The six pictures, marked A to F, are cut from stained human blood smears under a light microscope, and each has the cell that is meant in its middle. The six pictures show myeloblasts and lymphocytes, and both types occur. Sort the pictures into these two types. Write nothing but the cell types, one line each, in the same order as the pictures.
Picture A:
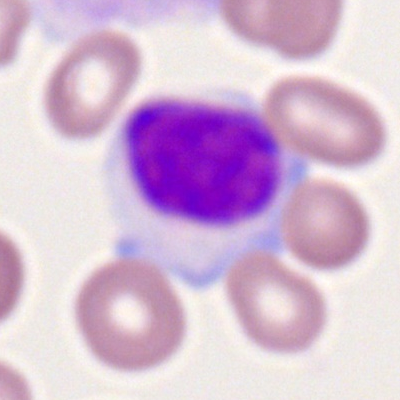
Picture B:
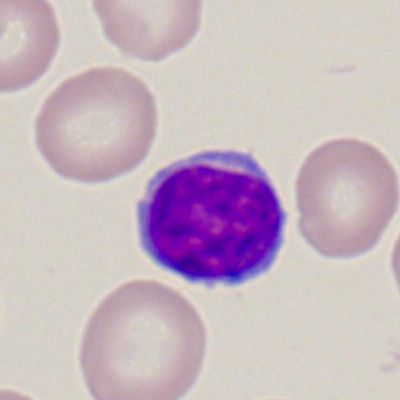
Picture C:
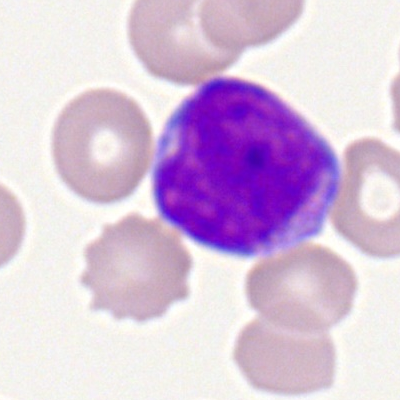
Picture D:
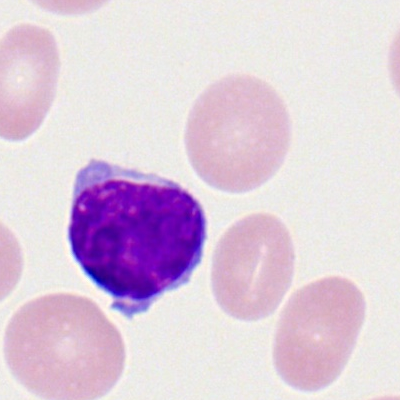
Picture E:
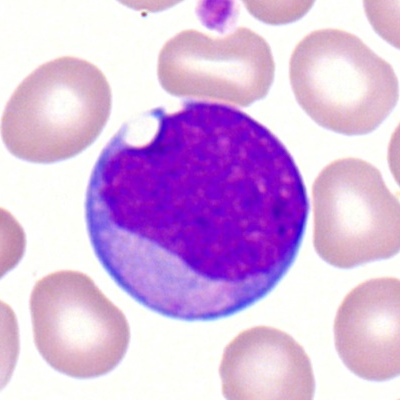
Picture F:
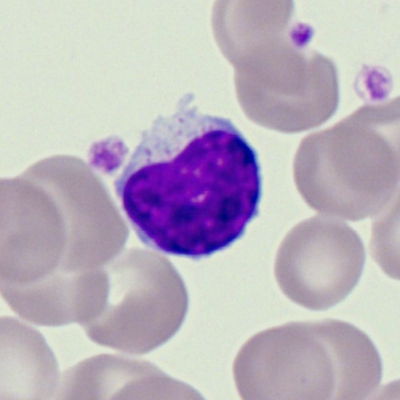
lymphocyte
lymphocyte
myeloblast
lymphocyte
myeloblast
lymphocyte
